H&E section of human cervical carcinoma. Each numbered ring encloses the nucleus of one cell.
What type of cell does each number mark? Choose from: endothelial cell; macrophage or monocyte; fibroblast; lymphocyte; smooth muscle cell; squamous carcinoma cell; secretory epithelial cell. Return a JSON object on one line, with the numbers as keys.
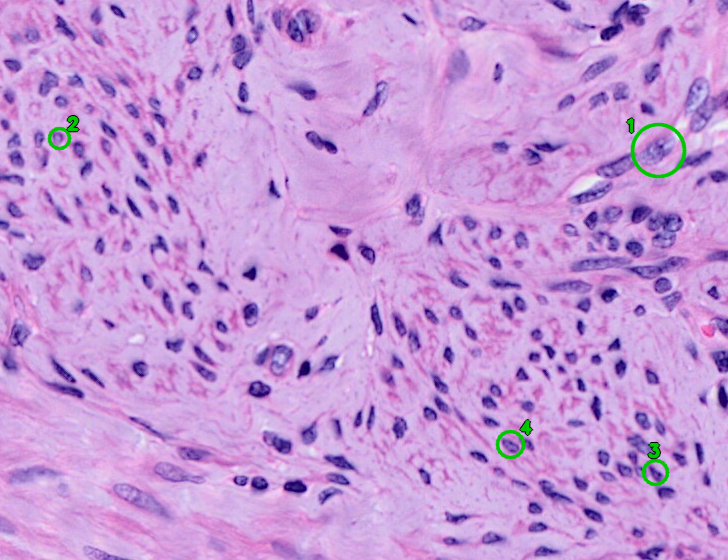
{"1": "endothelial cell", "2": "smooth muscle cell", "3": "smooth muscle cell", "4": "smooth muscle cell"}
